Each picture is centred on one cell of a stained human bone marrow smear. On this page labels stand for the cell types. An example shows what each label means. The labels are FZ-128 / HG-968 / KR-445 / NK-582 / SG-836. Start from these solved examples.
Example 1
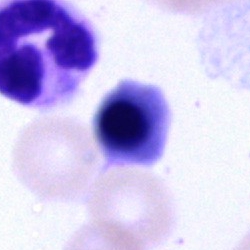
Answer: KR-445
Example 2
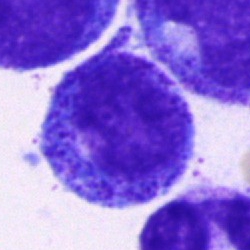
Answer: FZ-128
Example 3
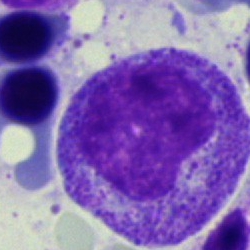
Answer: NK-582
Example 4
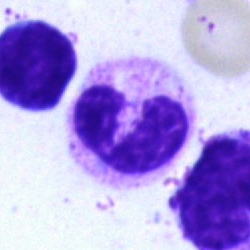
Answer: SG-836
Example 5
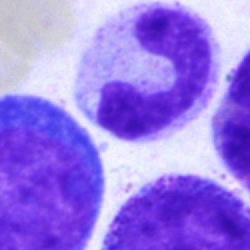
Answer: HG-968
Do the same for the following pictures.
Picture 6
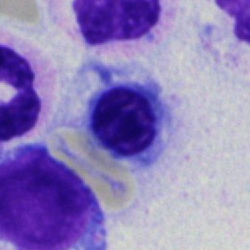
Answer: KR-445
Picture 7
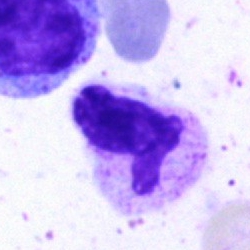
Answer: SG-836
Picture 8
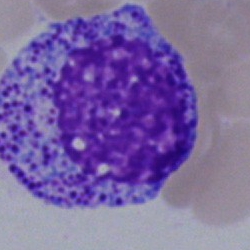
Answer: NK-582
